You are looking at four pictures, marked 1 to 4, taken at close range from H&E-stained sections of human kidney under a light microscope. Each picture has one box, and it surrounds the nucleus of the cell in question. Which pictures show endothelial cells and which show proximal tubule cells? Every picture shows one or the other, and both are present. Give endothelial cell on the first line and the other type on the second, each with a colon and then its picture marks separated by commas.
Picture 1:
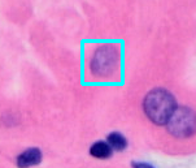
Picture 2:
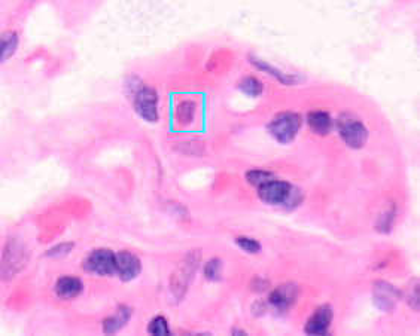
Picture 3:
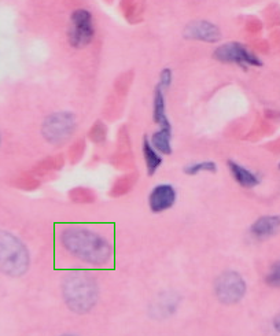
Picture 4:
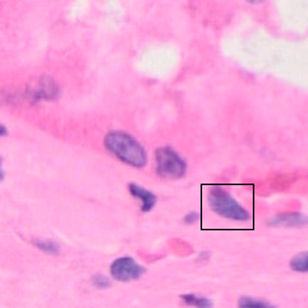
endothelial cell: 2, 4
proximal tubule cell: 1, 3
